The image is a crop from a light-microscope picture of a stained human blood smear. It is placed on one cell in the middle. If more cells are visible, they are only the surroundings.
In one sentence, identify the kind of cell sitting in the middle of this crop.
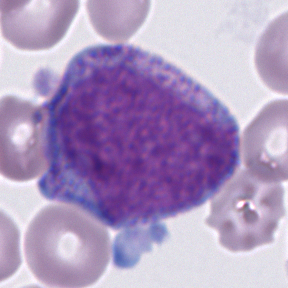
The centrally located cell in the crop is a promyelocyte.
